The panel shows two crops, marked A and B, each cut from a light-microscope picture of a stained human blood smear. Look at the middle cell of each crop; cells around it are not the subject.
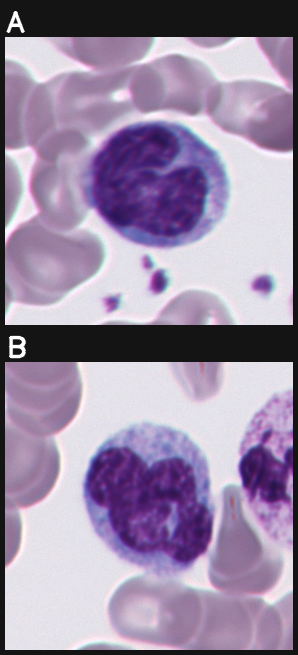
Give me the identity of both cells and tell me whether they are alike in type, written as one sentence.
Yes, both crops show monocytes, with no exception.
